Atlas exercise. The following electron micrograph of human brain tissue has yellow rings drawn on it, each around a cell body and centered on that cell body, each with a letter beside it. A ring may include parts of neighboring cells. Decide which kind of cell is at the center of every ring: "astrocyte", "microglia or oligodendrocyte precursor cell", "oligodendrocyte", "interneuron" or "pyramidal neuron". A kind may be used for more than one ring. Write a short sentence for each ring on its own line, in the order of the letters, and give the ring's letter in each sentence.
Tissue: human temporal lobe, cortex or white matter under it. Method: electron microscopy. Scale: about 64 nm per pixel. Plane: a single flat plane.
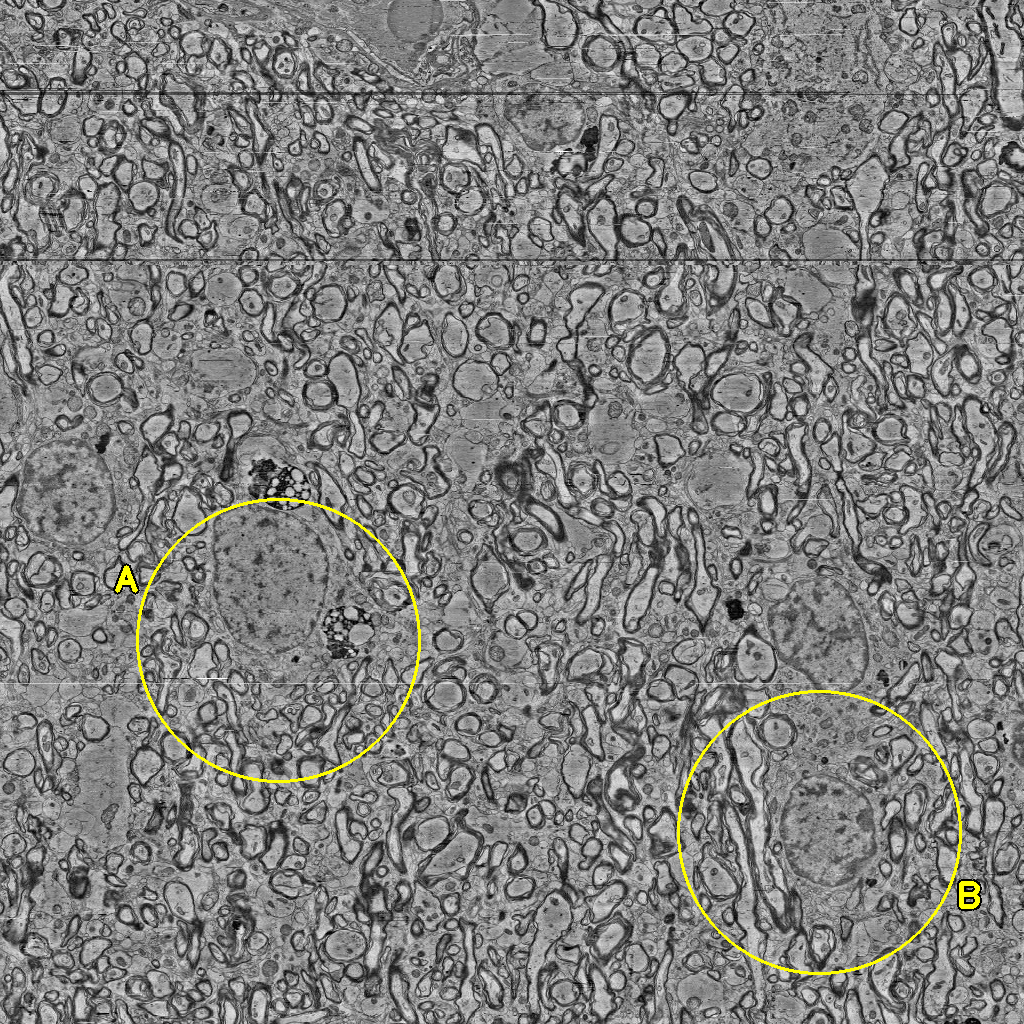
Ring A frames an astrocyte at its center.
Ring B frames an oligodendrocyte at its center.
